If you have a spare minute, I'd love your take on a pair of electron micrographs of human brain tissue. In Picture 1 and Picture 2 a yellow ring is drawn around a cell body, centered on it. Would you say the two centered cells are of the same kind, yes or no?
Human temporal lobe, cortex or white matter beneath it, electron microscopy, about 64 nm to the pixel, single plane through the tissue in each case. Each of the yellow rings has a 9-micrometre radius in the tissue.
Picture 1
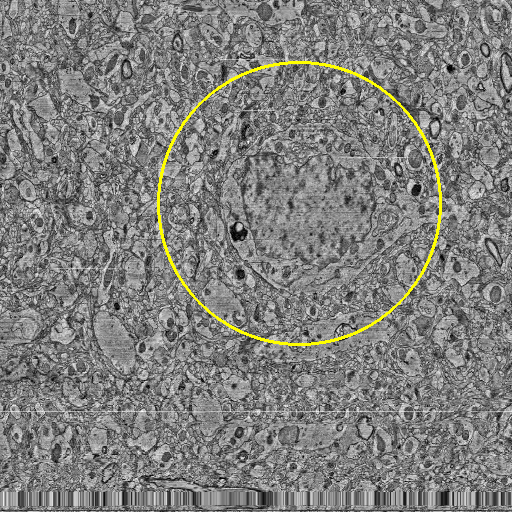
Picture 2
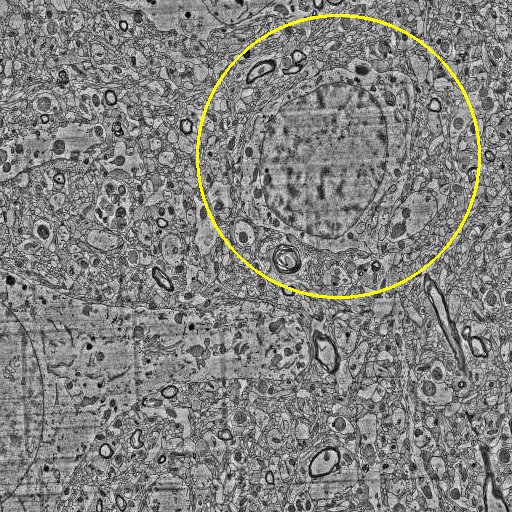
yes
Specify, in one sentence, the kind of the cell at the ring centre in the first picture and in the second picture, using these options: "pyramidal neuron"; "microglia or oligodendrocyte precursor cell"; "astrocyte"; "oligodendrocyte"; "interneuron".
Both cells are the same kind, each one being an interneuron.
